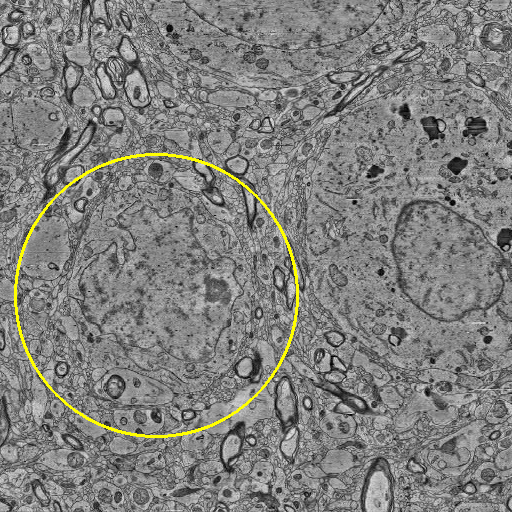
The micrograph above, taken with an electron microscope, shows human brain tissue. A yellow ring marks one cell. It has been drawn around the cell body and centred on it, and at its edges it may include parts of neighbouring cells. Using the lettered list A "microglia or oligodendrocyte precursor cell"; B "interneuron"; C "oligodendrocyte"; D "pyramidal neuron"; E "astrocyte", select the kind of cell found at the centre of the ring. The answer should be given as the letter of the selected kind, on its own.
B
